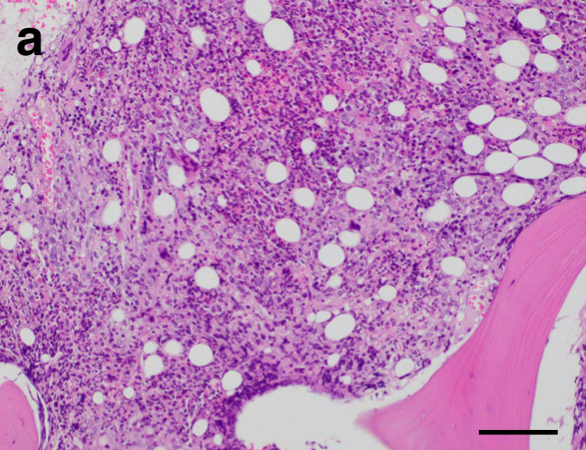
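At low power this is bone marrow lying between pink trabeculae of bone, seen at the lower right and lower left. The space between them is crowded with purple-staining marrow cells, with only small round fat spaces scattered through. A few larger dark cells stand out among the smaller ones. Some areas have a paler pink, streaming look between the cells.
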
